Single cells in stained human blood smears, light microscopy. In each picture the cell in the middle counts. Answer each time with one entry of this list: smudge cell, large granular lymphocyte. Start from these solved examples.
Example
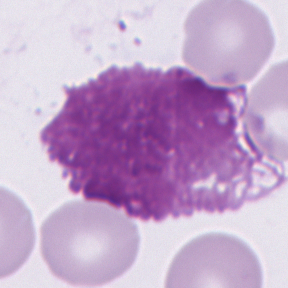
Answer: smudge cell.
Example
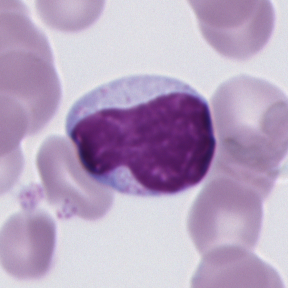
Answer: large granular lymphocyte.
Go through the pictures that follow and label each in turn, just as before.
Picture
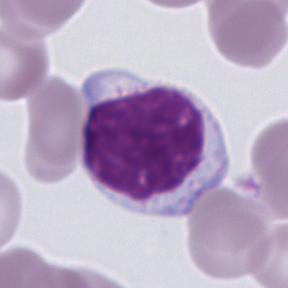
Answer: large granular lymphocyte.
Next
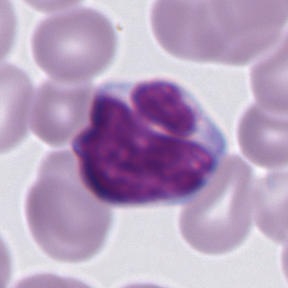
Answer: large granular lymphocyte.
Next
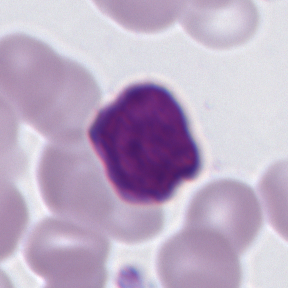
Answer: smudge cell.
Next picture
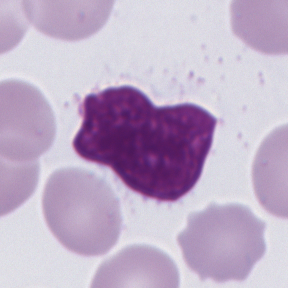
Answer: smudge cell.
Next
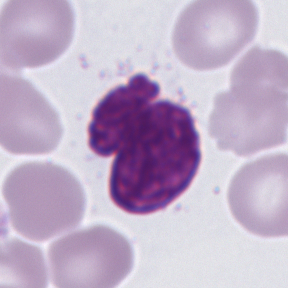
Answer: smudge cell.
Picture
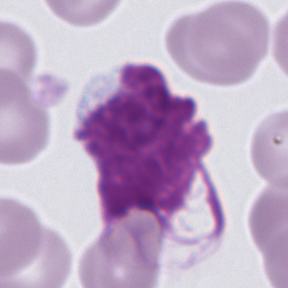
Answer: smudge cell.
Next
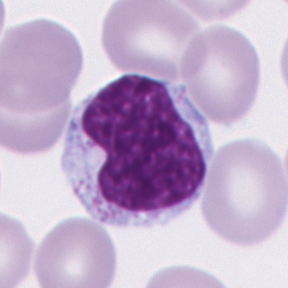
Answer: large granular lymphocyte.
